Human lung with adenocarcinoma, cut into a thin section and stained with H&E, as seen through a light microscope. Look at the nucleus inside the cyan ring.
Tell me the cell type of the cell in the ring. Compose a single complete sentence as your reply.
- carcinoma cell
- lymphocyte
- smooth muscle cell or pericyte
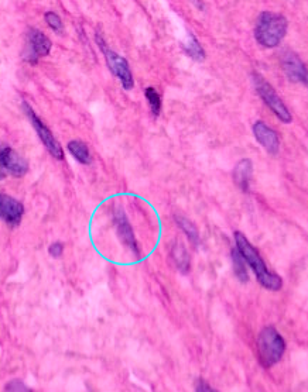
Assigned to a cell type, the cell in the ring is a smooth muscle cell or pericyte.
